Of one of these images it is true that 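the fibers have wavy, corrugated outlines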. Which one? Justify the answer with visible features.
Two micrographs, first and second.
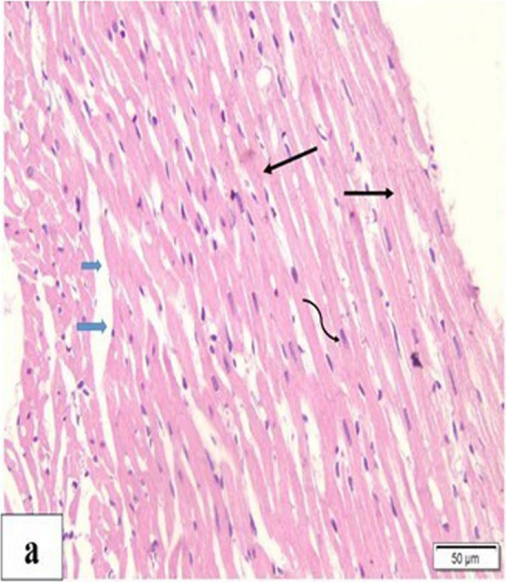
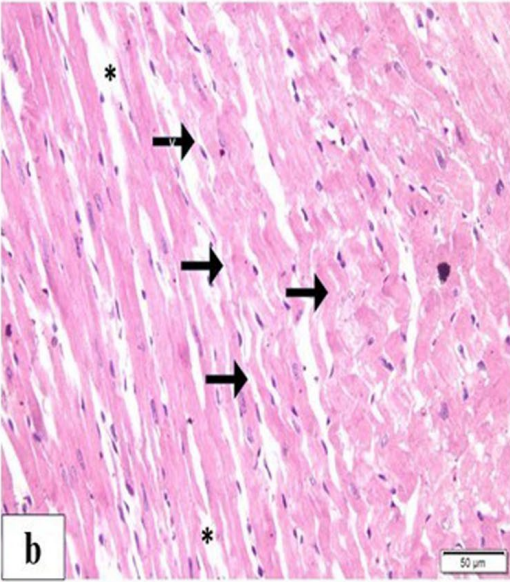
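Second image: many fibers have wavy, irregular borders and some areas look disorganised. First image: fibers run in smooth, regular parallel rows. On this evidence: the second image.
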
